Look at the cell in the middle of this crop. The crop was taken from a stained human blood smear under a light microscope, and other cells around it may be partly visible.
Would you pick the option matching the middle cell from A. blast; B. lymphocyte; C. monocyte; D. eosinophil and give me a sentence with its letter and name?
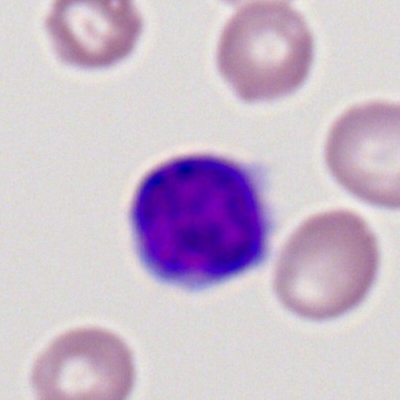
Option B correctly names the cell in the middle as a lymphocyte.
